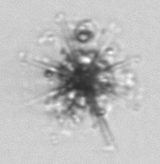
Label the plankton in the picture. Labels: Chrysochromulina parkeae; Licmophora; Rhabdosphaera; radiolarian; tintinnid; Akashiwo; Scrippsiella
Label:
radiolarian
